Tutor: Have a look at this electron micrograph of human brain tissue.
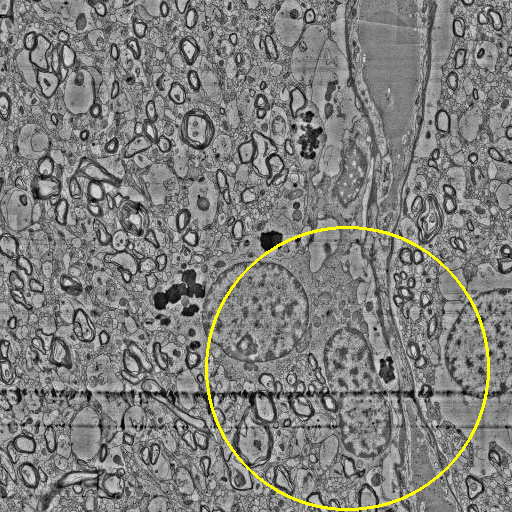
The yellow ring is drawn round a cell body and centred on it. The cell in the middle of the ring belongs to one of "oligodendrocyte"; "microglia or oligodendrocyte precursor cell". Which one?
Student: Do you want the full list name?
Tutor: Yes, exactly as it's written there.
oligodendrocyte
